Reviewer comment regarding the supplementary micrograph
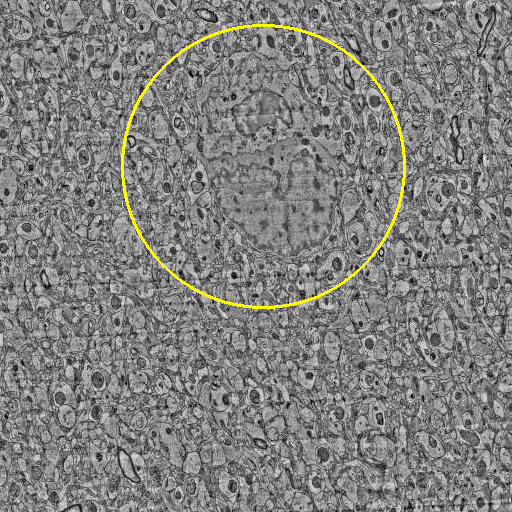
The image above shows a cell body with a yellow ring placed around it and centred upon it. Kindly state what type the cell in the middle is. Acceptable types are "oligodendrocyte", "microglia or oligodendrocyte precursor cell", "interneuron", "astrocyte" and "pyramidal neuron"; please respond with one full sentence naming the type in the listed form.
In the image above, the cell on which the yellow ring is centred is an oligodendrocyte.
